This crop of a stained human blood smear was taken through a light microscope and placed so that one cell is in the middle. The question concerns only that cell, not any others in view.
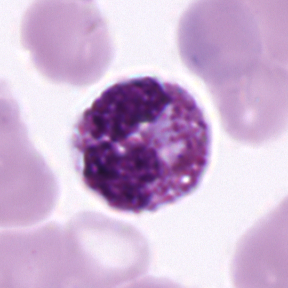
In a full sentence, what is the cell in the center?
At the crop's centre, the cell is an eosinophil.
